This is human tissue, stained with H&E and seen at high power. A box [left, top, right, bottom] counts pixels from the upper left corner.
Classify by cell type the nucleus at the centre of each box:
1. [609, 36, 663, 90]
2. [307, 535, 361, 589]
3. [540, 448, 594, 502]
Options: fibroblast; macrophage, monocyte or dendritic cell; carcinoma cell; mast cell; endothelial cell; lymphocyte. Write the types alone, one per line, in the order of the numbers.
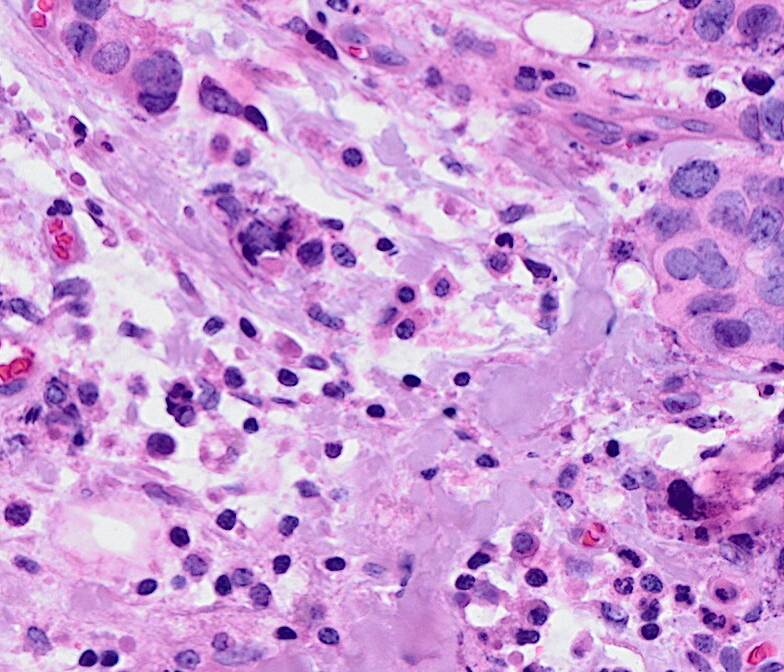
fibroblast
lymphocyte
mast cell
